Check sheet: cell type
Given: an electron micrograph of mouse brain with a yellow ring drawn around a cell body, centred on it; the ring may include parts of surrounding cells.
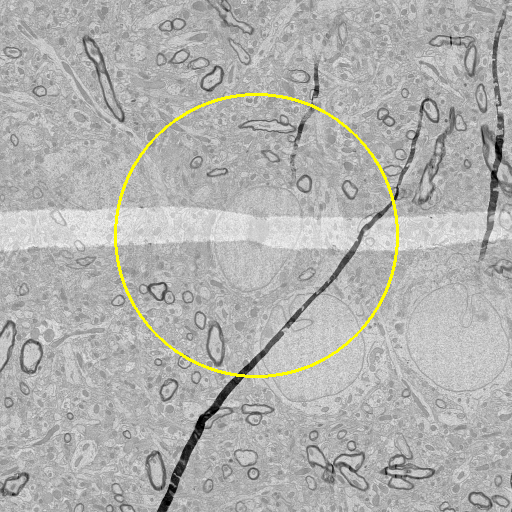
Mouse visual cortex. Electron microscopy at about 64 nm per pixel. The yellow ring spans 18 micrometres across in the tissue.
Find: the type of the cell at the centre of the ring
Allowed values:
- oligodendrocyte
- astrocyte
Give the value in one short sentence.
Here the ringed cell is an astrocyte.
